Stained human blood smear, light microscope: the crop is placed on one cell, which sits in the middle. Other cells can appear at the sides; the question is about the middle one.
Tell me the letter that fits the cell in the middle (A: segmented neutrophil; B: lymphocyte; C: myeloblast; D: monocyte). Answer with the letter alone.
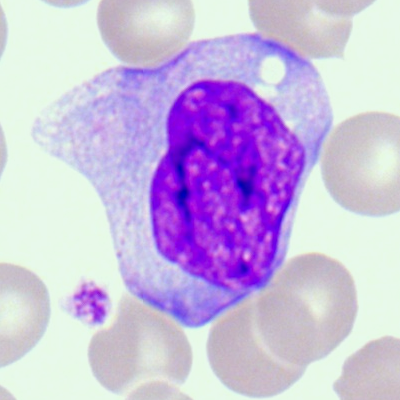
D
